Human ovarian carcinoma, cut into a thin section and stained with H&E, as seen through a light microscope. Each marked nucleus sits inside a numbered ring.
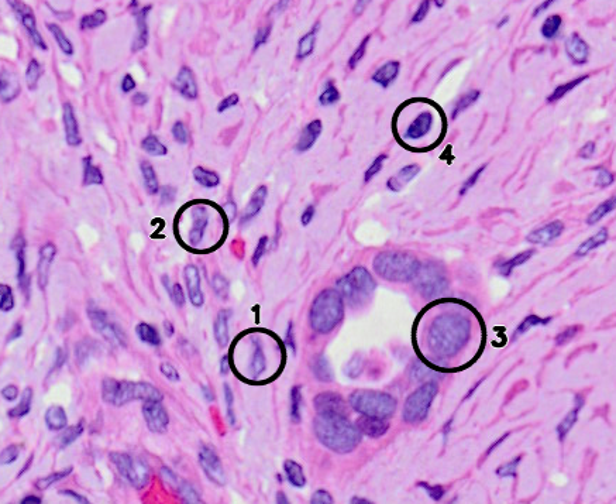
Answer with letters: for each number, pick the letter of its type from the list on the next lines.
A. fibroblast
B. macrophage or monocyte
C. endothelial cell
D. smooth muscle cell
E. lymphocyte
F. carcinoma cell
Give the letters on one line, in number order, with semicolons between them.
A; A; F; E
